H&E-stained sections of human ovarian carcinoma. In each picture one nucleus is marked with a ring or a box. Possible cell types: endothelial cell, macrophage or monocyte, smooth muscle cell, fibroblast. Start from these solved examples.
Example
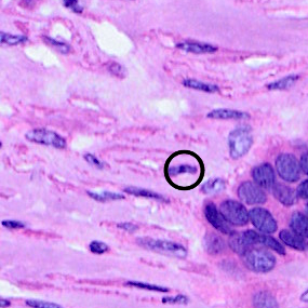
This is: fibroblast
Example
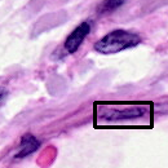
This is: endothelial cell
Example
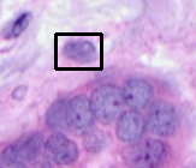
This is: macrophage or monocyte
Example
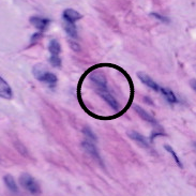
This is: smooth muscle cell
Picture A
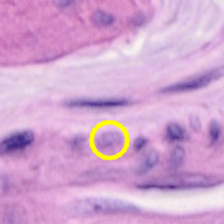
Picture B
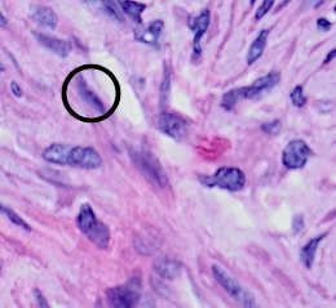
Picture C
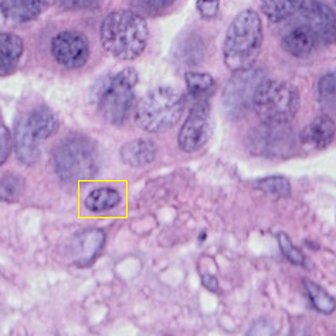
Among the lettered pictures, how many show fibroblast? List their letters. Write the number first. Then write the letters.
1, namely B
